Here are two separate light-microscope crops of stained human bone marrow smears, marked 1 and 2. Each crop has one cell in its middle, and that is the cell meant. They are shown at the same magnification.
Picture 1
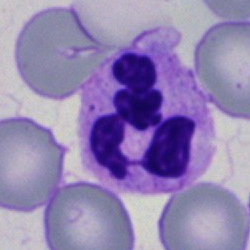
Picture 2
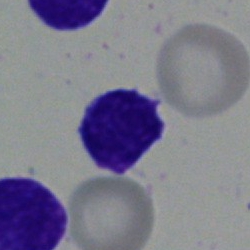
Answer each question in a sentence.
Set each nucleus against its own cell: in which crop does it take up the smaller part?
It is the cell in picture 1 that is filled less by its nucleus.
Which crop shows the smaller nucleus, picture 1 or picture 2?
It is the nucleus in picture 2; the one in picture 1 has about 1.5 times its area.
